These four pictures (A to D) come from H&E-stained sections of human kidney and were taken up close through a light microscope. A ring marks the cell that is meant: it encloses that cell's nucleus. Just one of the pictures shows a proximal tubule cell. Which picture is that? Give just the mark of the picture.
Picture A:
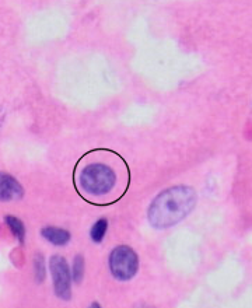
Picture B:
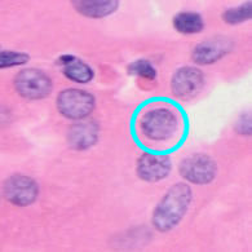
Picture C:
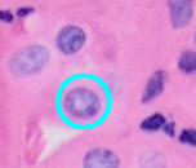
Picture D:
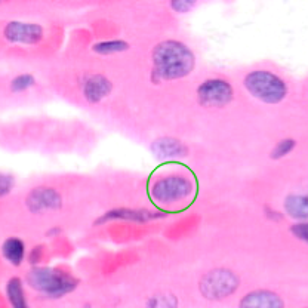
A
